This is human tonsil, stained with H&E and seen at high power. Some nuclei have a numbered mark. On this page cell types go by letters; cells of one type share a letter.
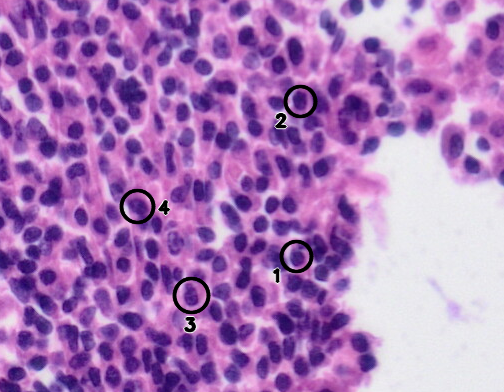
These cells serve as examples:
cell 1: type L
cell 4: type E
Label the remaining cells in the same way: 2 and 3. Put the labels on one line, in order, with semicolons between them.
type E; type E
